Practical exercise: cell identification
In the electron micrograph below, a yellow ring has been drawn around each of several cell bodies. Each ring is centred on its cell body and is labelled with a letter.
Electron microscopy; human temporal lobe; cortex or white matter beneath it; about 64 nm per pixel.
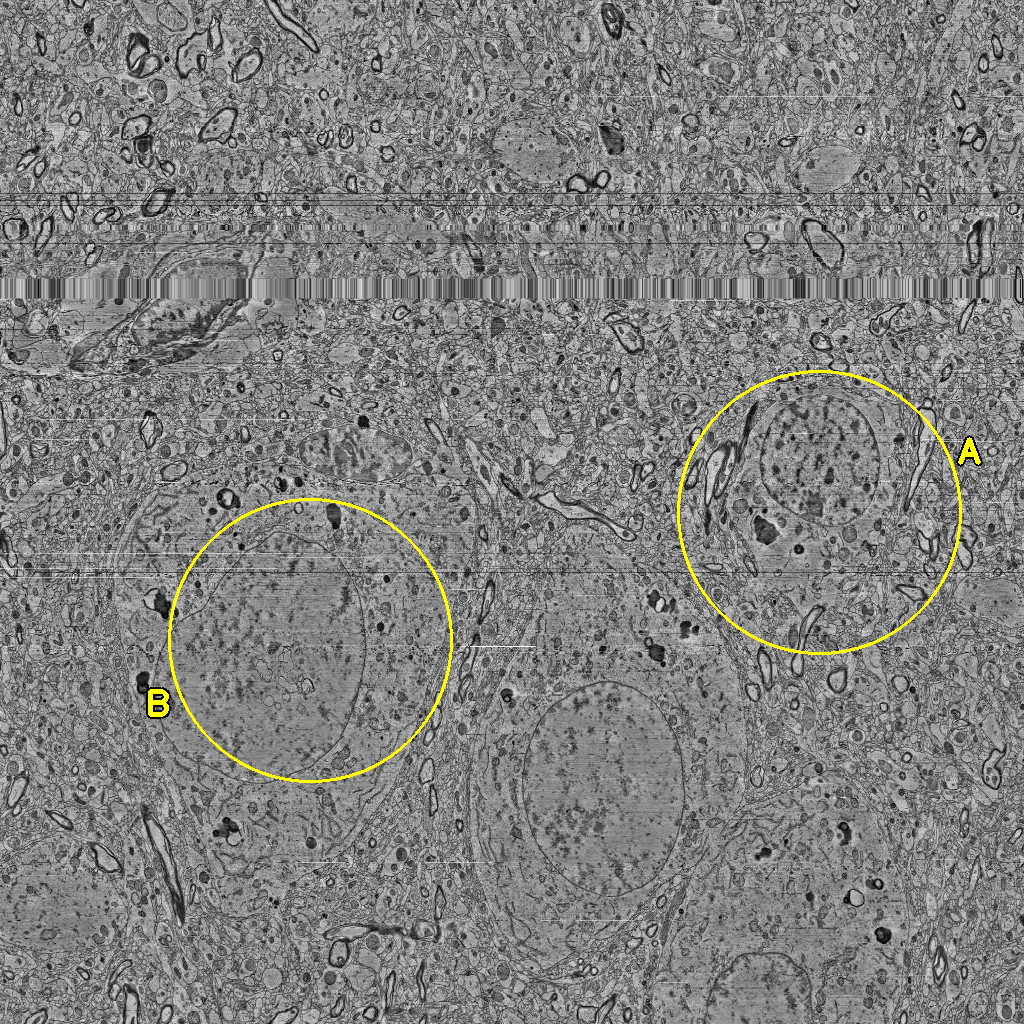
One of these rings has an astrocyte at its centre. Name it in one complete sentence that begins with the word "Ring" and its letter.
Ring A has that cell at its centre.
